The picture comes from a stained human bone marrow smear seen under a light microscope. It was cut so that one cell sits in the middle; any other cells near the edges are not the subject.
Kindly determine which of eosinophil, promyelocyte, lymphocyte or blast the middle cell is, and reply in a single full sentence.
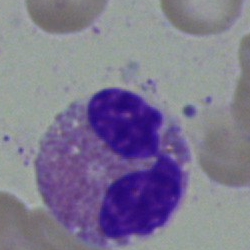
Within this crop, an eosinophil occupies the central position.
